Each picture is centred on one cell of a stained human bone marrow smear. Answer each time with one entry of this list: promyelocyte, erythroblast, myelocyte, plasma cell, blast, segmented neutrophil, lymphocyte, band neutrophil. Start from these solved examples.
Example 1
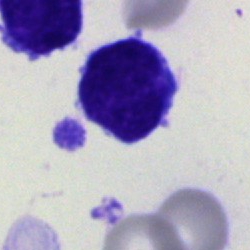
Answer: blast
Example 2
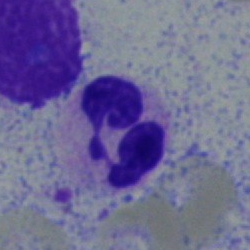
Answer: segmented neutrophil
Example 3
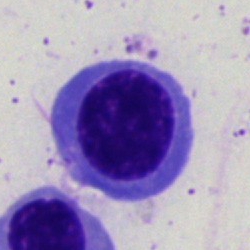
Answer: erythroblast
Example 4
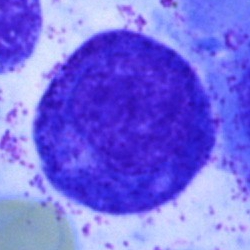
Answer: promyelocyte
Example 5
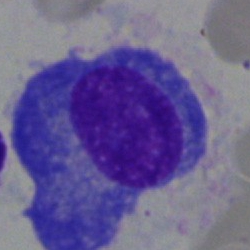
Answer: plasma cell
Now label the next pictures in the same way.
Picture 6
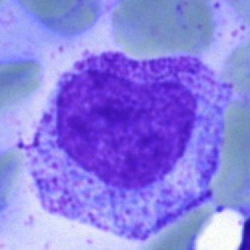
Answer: myelocyte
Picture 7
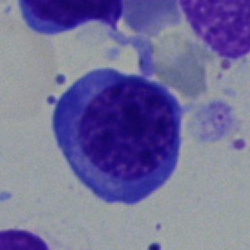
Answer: erythroblast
